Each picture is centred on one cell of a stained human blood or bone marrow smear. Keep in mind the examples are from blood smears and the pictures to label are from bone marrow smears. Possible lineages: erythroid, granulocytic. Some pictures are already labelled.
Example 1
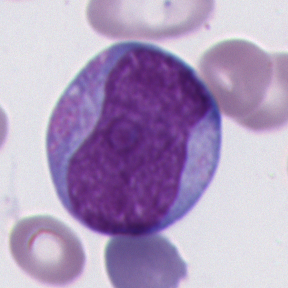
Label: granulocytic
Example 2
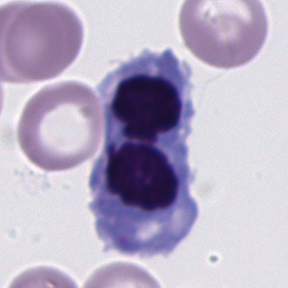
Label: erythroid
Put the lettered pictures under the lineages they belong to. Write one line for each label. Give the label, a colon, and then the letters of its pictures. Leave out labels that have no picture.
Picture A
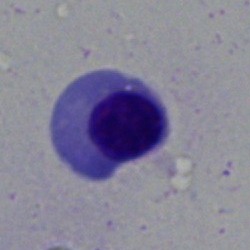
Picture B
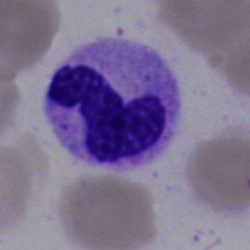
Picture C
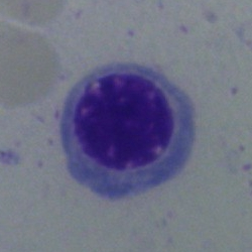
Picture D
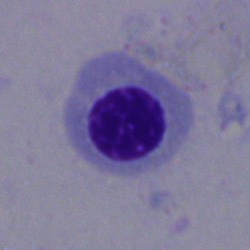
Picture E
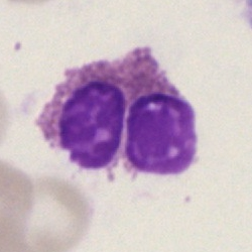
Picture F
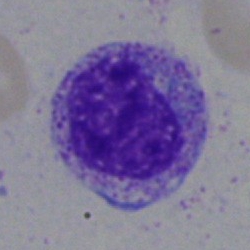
erythroid: A, C, D
granulocytic: B, E, F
